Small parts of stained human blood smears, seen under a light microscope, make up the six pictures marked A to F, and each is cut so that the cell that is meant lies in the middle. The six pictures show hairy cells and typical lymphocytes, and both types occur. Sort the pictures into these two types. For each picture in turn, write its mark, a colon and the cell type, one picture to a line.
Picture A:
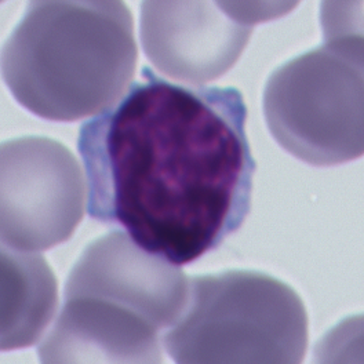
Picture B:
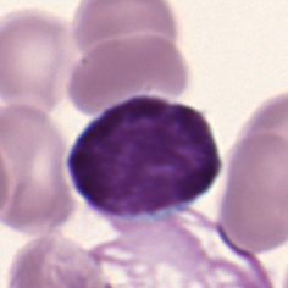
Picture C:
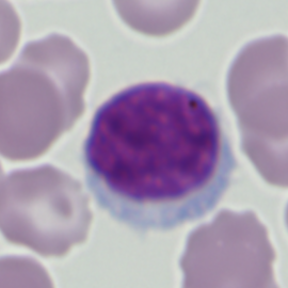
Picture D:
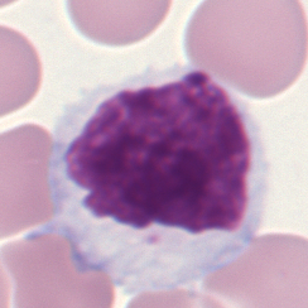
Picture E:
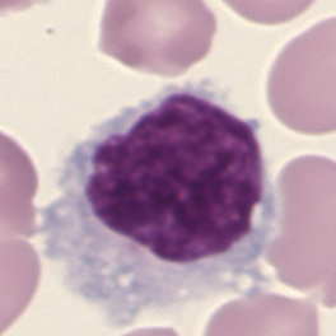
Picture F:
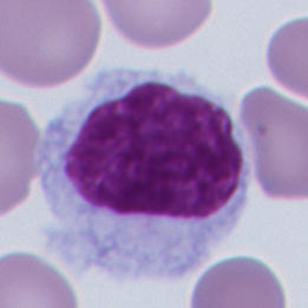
A: typical lymphocyte
B: typical lymphocyte
C: hairy cell
D: hairy cell
E: hairy cell
F: hairy cell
